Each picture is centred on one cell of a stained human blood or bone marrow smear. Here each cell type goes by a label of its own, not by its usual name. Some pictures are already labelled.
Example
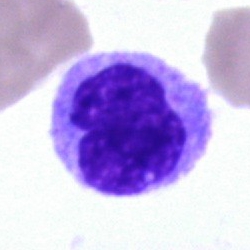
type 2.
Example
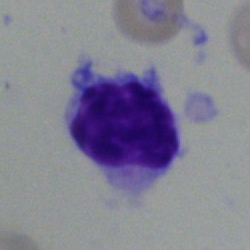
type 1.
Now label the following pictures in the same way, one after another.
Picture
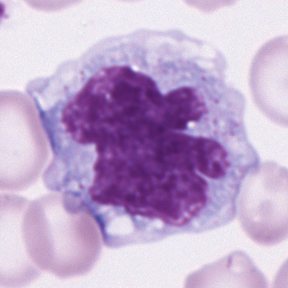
type 2.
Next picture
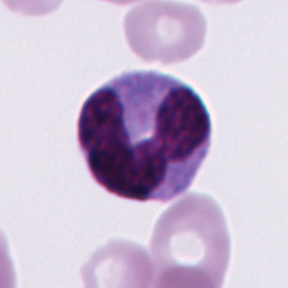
type 2.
